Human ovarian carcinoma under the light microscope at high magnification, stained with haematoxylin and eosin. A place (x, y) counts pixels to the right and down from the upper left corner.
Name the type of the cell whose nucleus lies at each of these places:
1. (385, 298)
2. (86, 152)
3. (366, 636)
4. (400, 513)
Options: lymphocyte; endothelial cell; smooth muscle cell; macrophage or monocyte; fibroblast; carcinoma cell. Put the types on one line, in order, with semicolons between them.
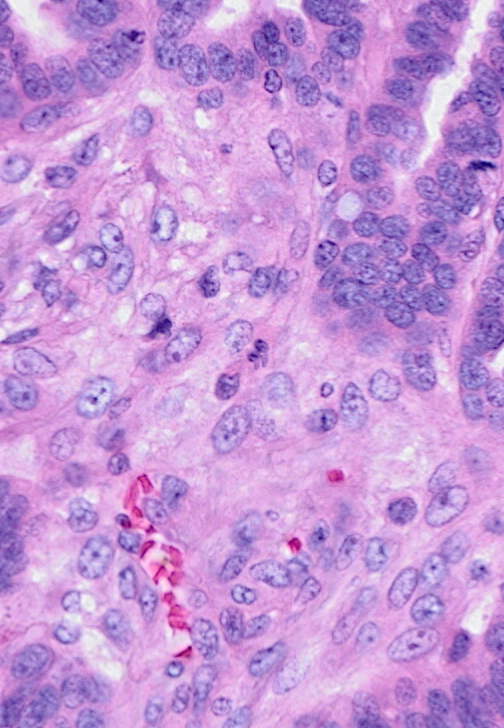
carcinoma cell; fibroblast; fibroblast; macrophage or monocyte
